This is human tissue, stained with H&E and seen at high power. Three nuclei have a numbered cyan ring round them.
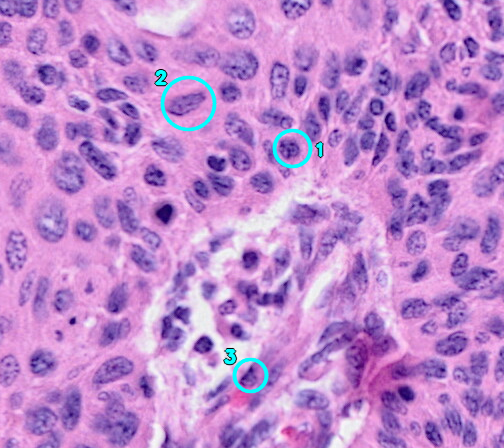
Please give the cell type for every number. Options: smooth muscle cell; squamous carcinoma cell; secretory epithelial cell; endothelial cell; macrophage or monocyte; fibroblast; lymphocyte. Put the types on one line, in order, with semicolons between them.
squamous carcinoma cell; squamous carcinoma cell; endothelial cell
